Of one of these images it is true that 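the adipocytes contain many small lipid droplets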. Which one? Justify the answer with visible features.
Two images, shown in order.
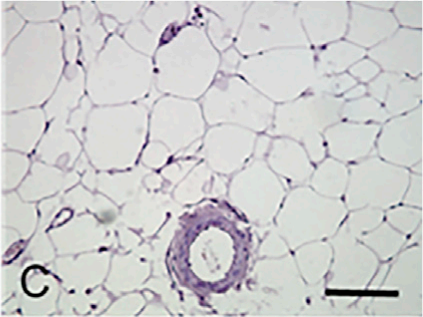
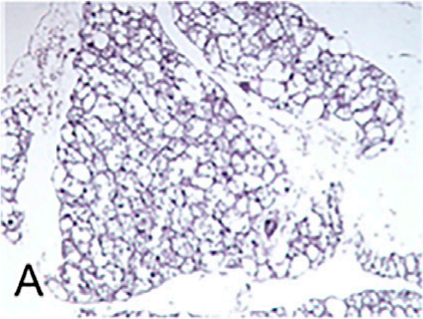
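First image: each cell has one large clear vacuole with a thin rim of cytoplasm. That points to this answer: the second image.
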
